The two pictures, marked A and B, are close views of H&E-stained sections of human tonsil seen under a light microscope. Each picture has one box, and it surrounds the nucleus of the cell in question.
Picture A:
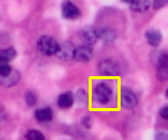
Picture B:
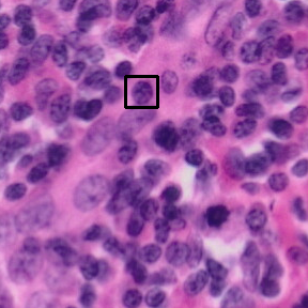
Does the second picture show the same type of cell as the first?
no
